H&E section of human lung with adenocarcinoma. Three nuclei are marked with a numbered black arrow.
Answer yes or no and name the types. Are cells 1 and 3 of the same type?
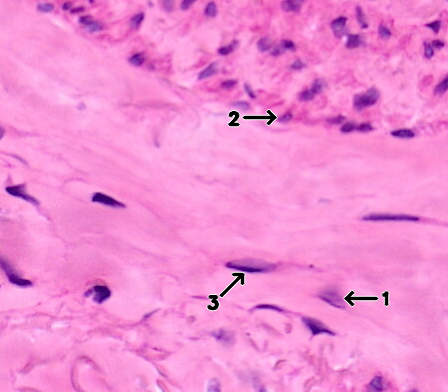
Yes, cells 1 and 3 both qualify as fibroblasts.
